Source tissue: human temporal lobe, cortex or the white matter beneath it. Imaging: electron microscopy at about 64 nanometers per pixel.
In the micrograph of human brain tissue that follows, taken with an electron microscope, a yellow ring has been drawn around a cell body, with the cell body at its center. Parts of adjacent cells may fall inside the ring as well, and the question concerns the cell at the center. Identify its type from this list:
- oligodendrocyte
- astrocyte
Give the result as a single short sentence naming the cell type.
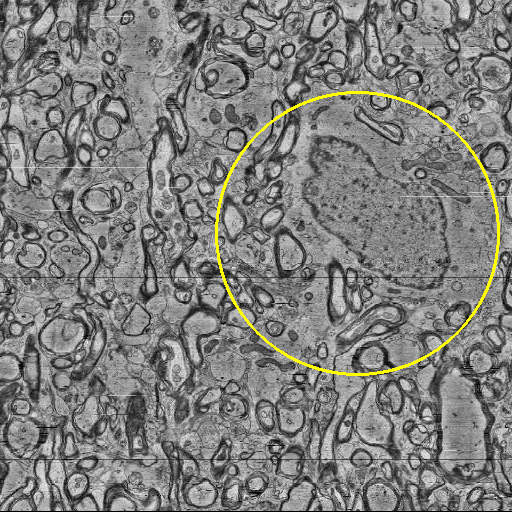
The ring is centered on an astrocyte.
